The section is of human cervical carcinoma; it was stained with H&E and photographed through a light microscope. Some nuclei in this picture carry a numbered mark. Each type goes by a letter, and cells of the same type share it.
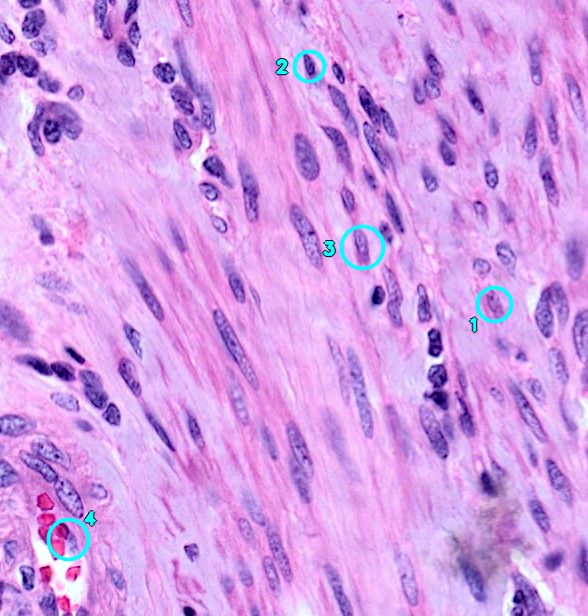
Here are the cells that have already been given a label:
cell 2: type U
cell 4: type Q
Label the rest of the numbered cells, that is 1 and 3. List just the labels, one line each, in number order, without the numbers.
type U
type U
